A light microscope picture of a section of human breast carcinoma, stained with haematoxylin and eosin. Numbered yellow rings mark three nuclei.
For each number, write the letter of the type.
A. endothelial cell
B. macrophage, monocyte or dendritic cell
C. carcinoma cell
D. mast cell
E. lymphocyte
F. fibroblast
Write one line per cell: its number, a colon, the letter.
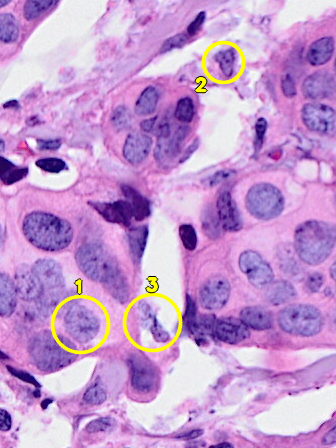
1: C
2: B
3: C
